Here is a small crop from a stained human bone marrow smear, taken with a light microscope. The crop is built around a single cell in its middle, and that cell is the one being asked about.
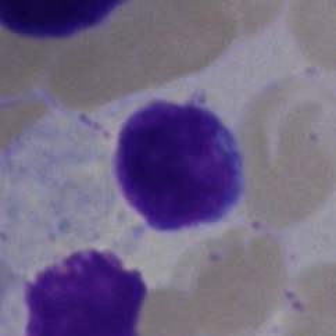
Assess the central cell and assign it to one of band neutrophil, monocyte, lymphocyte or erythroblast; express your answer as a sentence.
Regarding the central cell, it is a lymphocyte.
